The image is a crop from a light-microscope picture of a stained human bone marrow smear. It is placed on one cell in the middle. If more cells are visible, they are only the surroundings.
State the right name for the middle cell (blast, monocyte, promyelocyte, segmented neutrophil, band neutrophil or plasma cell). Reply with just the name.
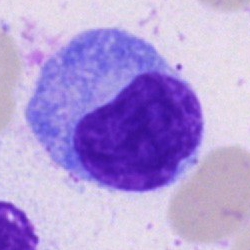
plasma cell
